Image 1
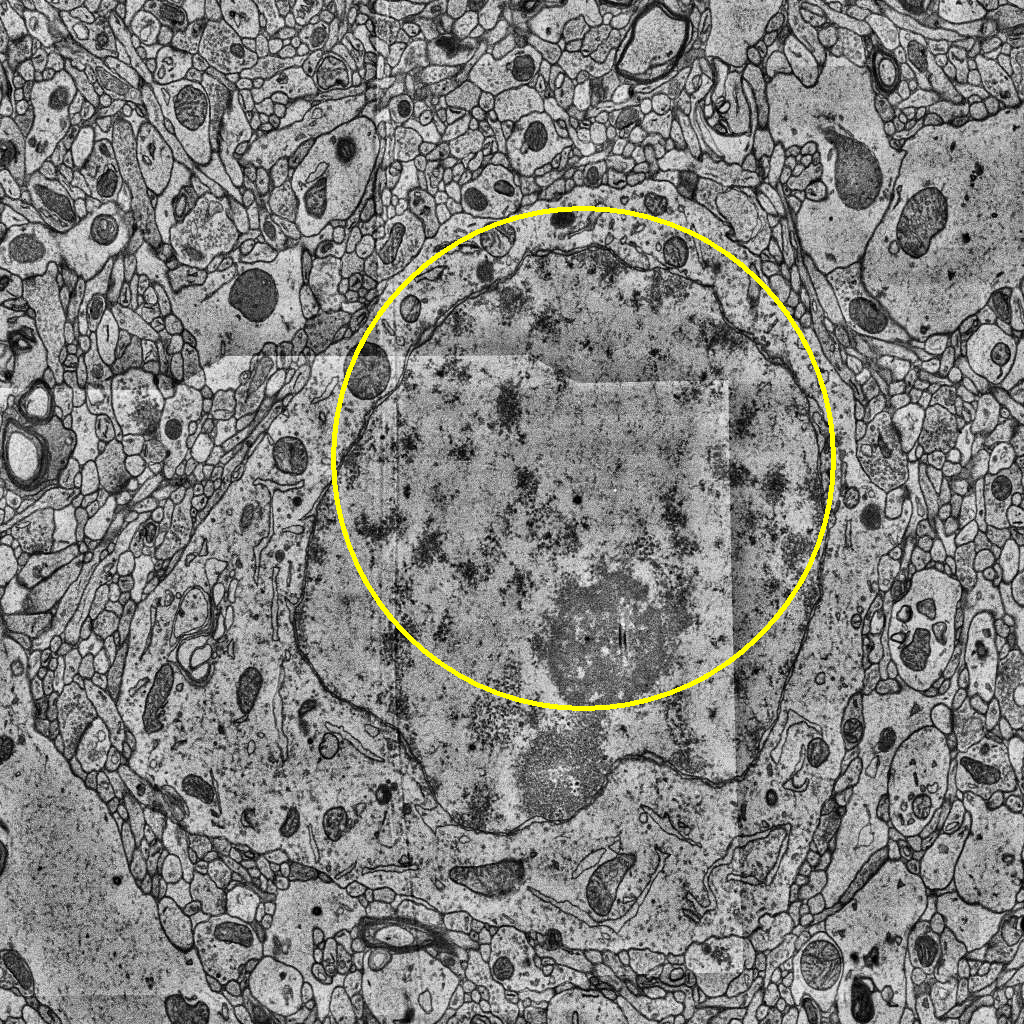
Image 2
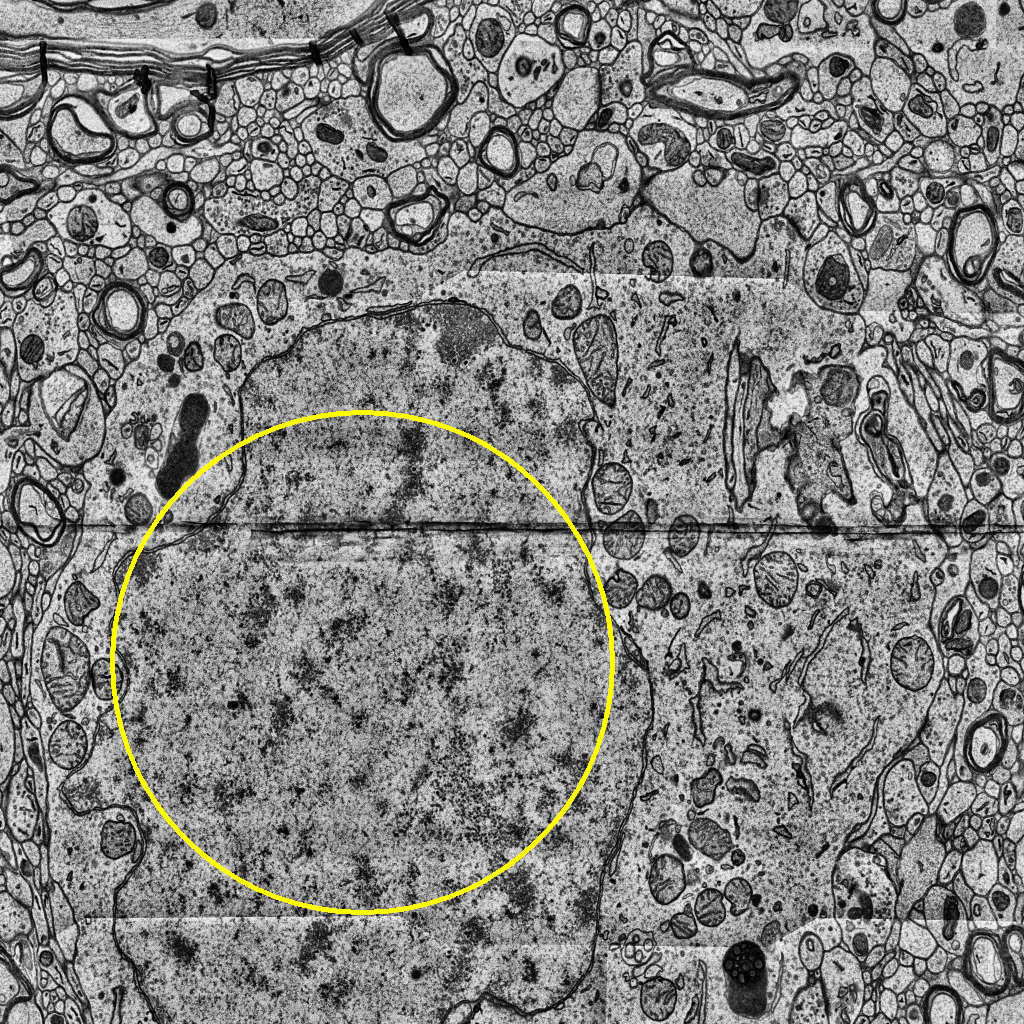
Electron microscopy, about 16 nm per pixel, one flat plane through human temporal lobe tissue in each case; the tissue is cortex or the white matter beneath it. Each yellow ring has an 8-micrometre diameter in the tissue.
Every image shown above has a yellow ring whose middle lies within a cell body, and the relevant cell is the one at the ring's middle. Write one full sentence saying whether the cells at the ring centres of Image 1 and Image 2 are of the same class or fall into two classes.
The cell at the ring's centre in Image 1 and its counterpart in Image 2 are of the same class.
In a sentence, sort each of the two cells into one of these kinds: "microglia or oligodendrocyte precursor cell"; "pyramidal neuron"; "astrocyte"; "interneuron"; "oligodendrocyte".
Each cell, in the first picture and the second, is an interneuron.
